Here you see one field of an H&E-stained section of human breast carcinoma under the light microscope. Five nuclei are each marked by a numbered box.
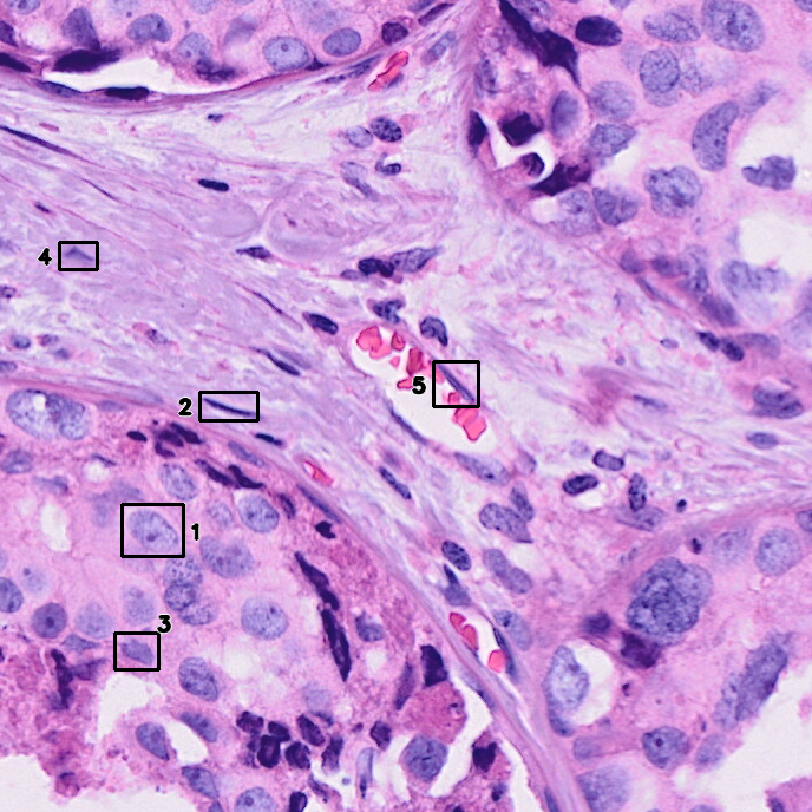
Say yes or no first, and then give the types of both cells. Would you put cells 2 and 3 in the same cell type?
No, cell 2 is a fibroblast and cell 3 is a carcinoma cell.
